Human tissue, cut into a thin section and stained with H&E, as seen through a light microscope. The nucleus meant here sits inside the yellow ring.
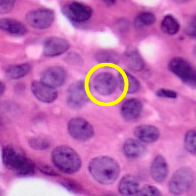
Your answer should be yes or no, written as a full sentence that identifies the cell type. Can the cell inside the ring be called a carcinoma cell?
Yes, the cell inside the ring is a carcinoma cell by cell type.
